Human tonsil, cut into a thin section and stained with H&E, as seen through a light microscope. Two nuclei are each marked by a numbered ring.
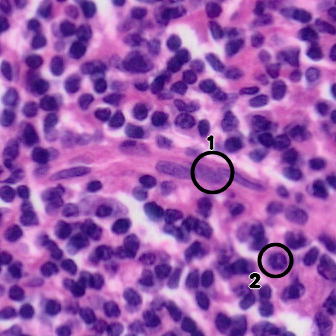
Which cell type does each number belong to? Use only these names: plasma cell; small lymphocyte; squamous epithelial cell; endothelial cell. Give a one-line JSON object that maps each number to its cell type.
{"1": "endothelial cell", "2": "plasma cell"}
